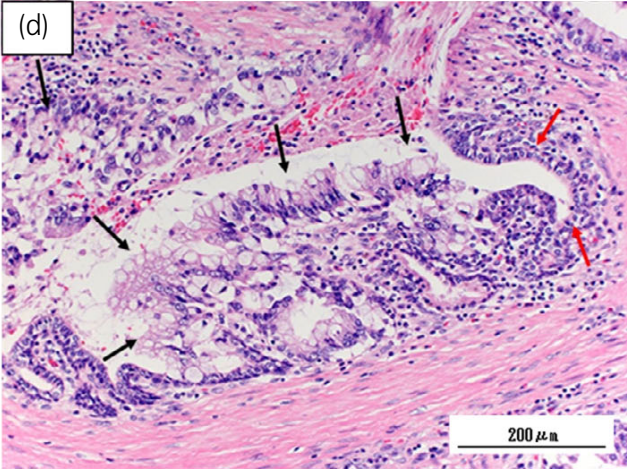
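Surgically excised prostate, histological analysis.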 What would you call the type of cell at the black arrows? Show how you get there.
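The marked cells are columnar with pale, clear, vacuolated cytoplasm. They line a gland-like space within the wall.
Answer: tumor cells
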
